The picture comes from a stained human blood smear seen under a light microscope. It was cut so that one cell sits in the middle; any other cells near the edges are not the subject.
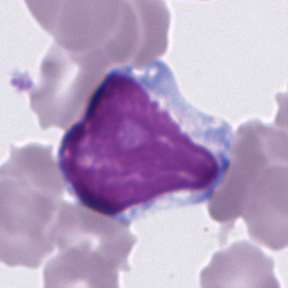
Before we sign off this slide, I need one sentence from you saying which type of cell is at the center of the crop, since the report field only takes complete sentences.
The target cell in the middle of the crop is a lymphocyte.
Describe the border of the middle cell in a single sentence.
A smooth outline is absent here, replaced by ragged stretches or projections.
